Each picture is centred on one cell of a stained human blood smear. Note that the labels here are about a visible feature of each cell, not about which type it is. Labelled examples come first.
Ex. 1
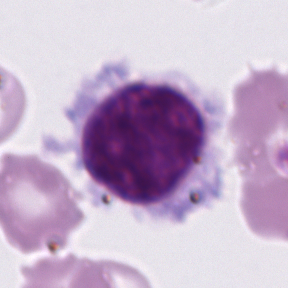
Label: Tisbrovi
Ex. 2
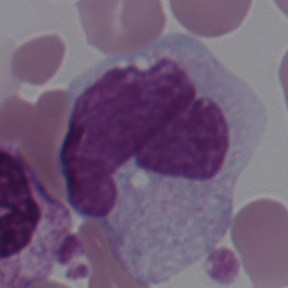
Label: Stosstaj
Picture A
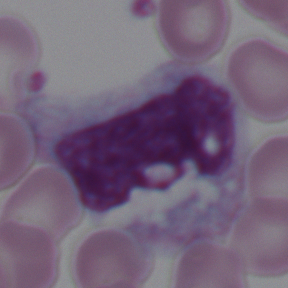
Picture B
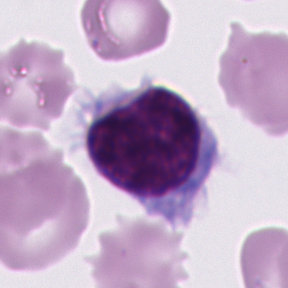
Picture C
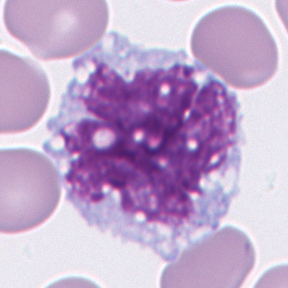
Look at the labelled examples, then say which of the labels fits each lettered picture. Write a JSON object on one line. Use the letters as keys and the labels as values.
{"A": "Stosstaj", "B": "Tisbrovi", "C": "Tisbrovi"}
